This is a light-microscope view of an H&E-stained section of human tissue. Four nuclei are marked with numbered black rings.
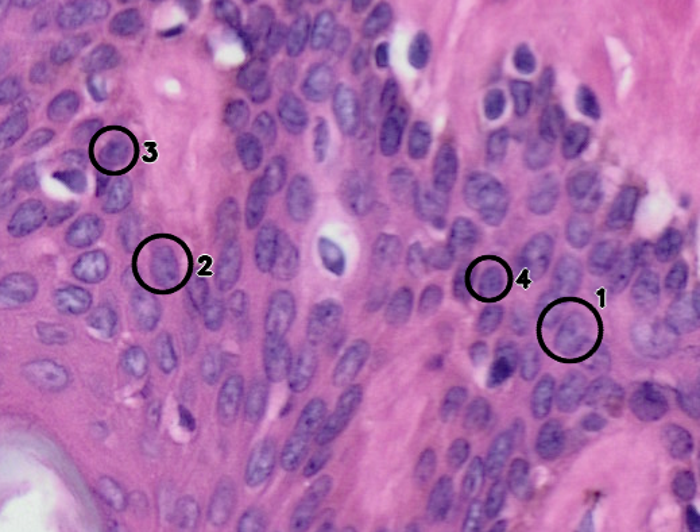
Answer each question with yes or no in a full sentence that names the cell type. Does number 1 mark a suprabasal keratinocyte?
Yes, the nucleus numbered 1 belongs to a suprabasal keratinocyte.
